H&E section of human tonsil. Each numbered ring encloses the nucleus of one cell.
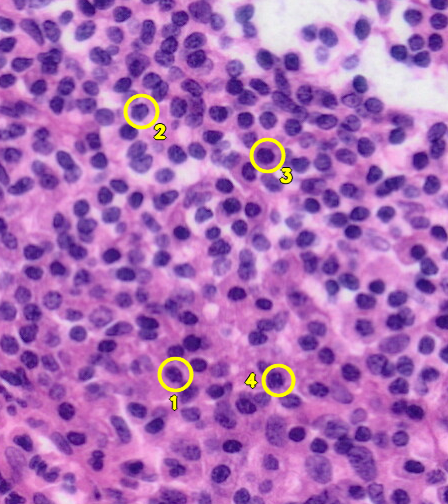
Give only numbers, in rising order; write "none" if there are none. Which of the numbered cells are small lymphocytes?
2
